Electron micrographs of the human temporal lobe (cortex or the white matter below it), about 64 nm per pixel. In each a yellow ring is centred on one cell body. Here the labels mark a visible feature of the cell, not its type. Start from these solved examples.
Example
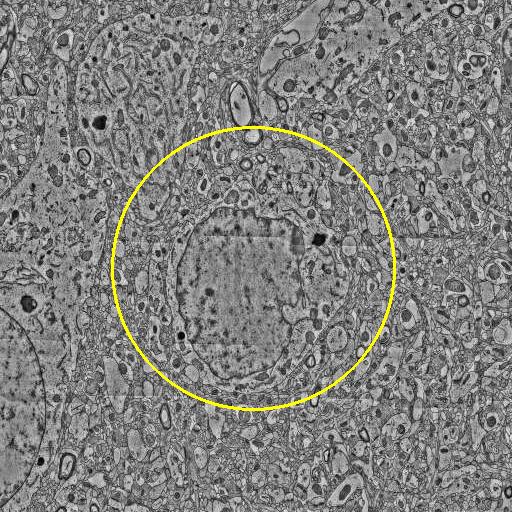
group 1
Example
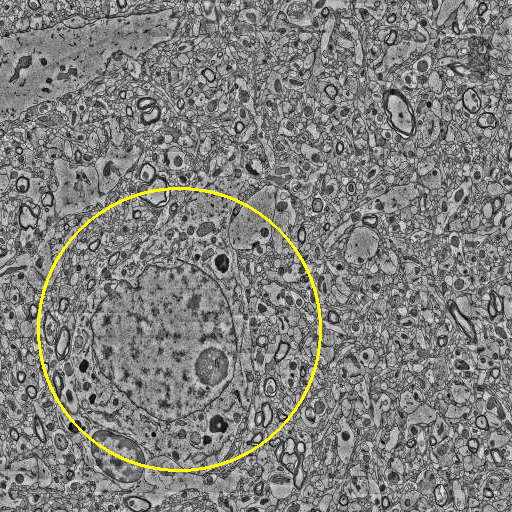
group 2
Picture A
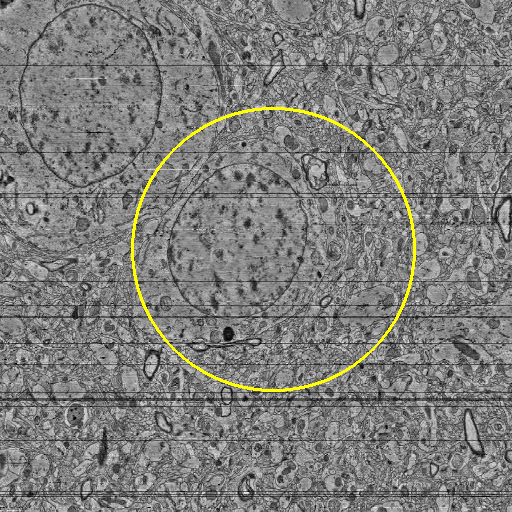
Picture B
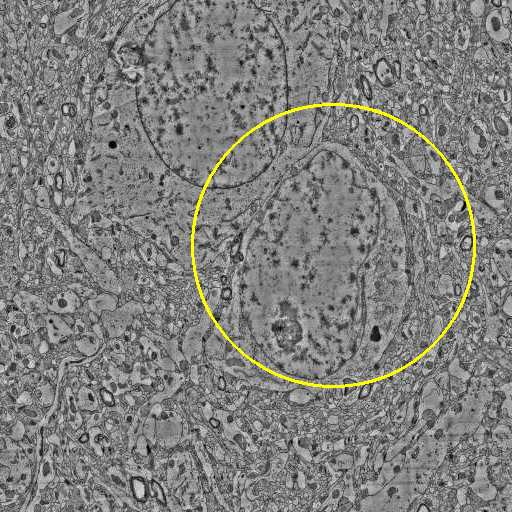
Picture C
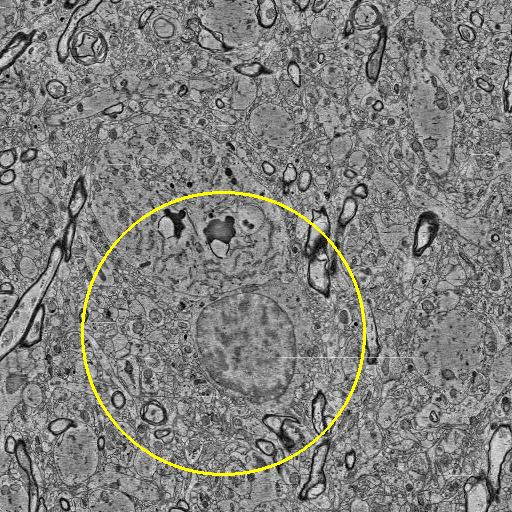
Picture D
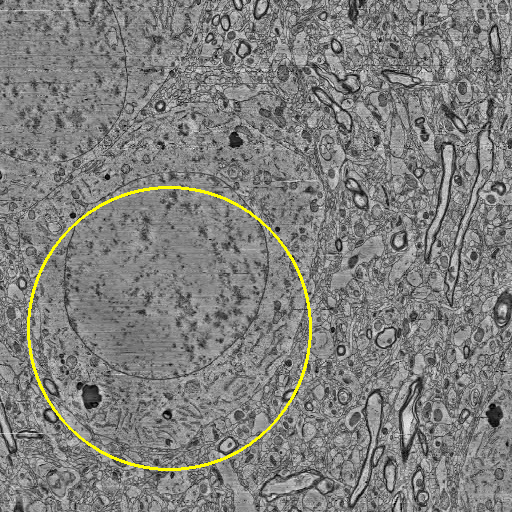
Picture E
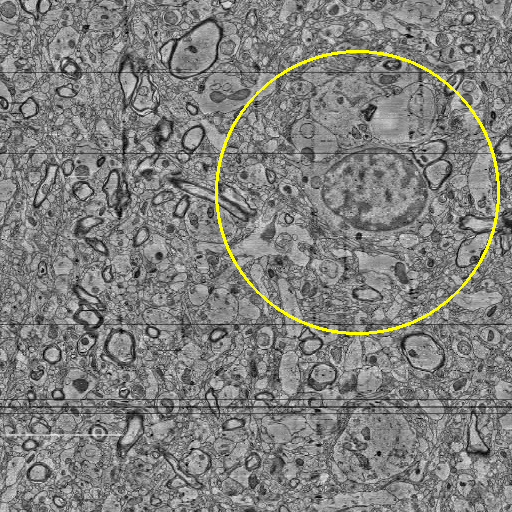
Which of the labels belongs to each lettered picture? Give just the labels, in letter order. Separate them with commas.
group 1, group 2, group 1, group 1, group 1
